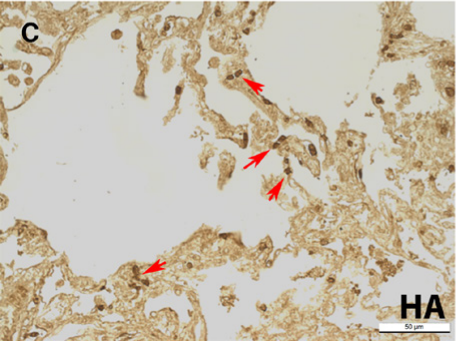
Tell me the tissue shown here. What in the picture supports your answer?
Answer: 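Lung. Thin branching septa surround large empty air spaces. A few brown-stained nuclei lie within the thin walls.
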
